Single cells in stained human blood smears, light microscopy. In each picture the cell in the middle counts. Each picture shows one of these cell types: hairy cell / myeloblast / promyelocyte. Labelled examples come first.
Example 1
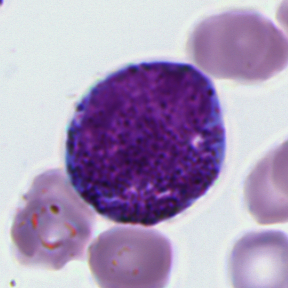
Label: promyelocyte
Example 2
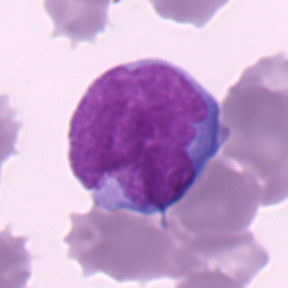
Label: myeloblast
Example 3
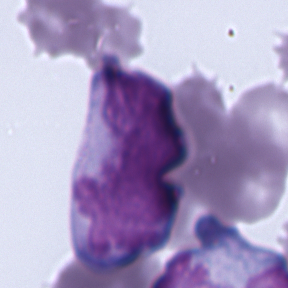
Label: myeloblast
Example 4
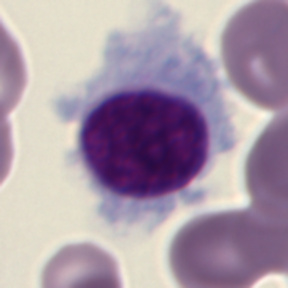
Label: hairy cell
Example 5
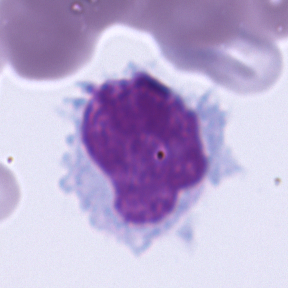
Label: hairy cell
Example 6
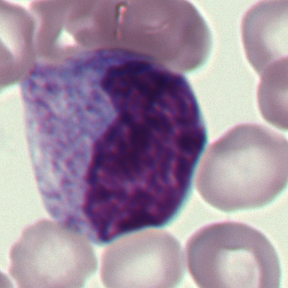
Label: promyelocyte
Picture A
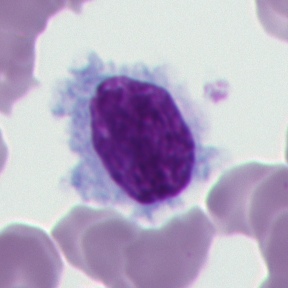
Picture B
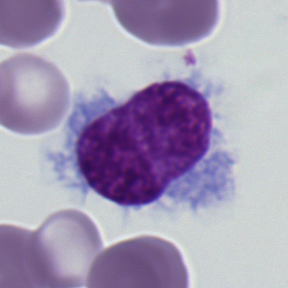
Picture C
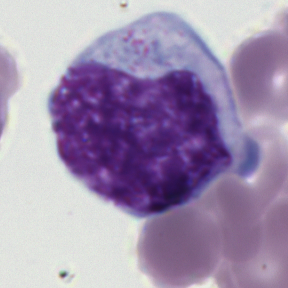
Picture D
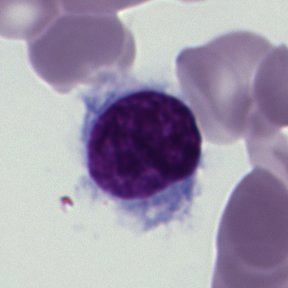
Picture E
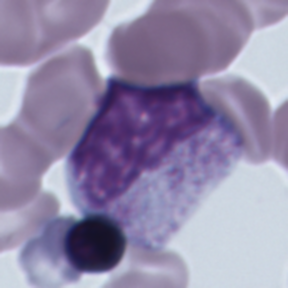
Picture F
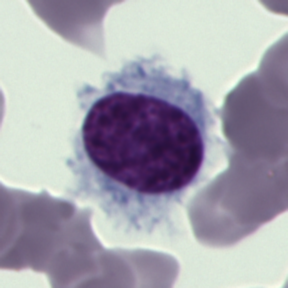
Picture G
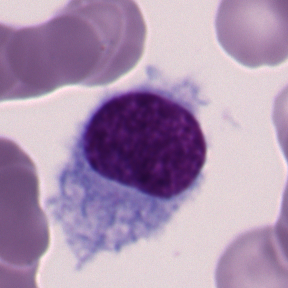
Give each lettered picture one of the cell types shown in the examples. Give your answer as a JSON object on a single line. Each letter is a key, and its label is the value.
{"A": "hairy cell", "B": "hairy cell", "C": "promyelocyte", "D": "hairy cell", "E": "promyelocyte", "F": "hairy cell", "G": "hairy cell"}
